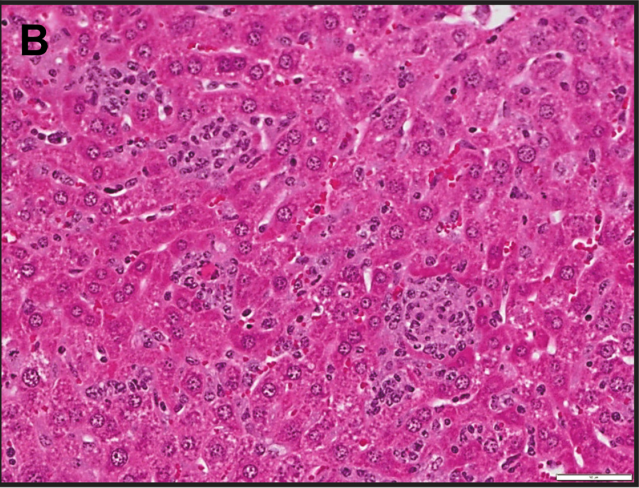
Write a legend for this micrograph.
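Liver parenchyma with plates of large polygonal hepatocytes having abundant pink cytoplasm and round central nuclei with prominent nucleoli, separated by narrow sinusoids containing some red blood cells. Among the hepatocyte plates lie compact clusters of smaller inflammatory cells with dark round or paler oval nuclei and scant cytoplasm. The clusters displace the surrounding hepatocytes locally without a clear border.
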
